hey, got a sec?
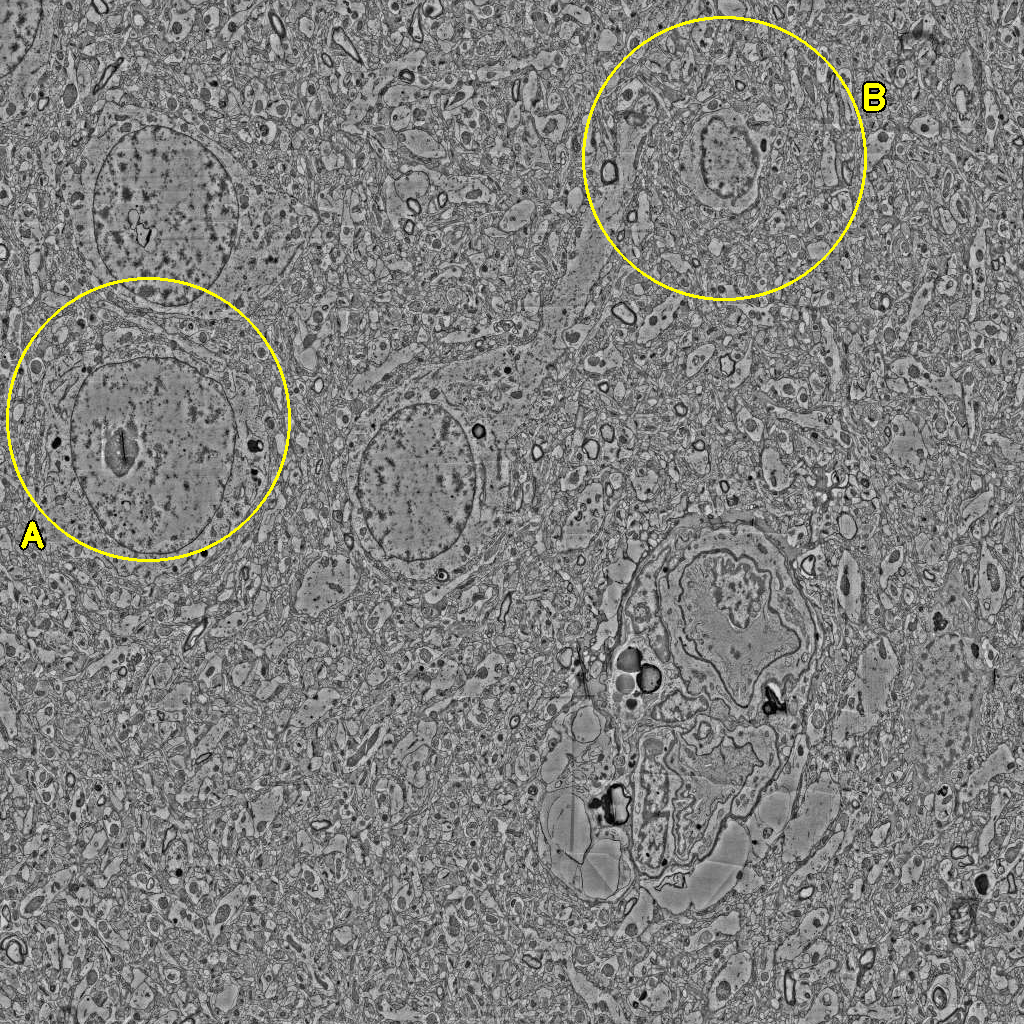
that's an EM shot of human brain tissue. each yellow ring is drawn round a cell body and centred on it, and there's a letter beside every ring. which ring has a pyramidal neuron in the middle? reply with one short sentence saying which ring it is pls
Ring A is the one centred on it.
